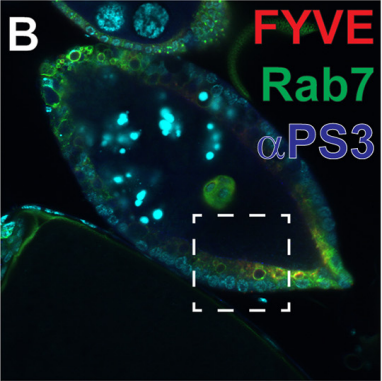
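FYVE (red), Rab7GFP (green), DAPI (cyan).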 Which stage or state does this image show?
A: mid-stage dying egg chamber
